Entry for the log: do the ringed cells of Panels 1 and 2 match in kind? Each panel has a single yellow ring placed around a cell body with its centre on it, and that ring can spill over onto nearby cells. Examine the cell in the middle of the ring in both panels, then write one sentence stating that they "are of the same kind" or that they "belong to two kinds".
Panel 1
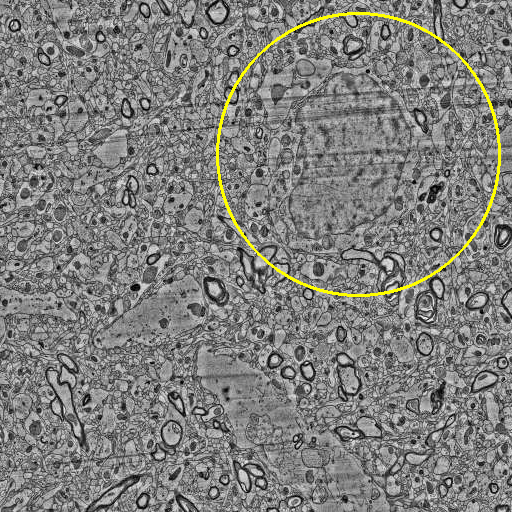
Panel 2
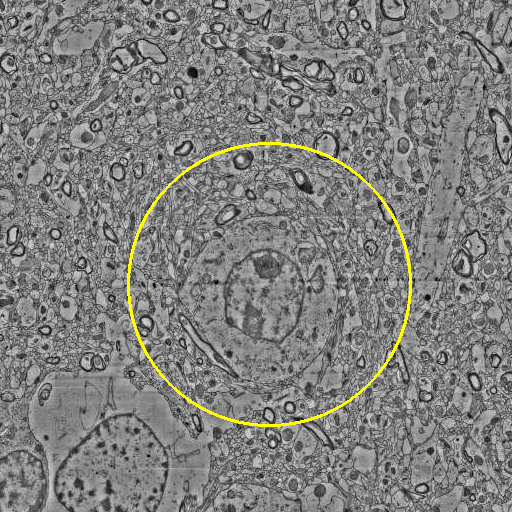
The centre cell of Panel 1's ring and that of Panel 2's ring belong to two kinds.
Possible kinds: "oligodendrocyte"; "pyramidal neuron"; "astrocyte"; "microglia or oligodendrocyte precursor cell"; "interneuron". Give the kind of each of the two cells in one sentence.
The cell in the second picture is a pyramidal neuron, and that in the first is an interneuron.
